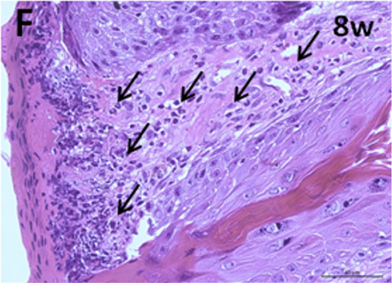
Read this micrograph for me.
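This section of skin shows thickened epithelium with inflammatory cells crowded into it. A band of bright pink, compact keratin-like material runs diagonally across the lower right. Above it lie layers of large polygonal cells with pale pink cytoplasm and round purple nuclei. Toward the left, a dense aggregate of small cells with dark, compact nuclei lies among these larger cells, and arrows point to several of these small cells.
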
